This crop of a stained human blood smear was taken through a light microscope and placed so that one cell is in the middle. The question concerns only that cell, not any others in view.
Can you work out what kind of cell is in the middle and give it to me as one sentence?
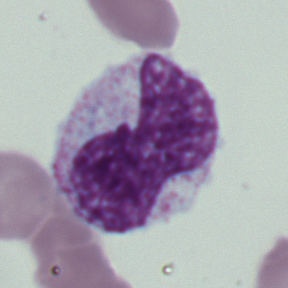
The middle cell in this particular crop is a band neutrophil.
